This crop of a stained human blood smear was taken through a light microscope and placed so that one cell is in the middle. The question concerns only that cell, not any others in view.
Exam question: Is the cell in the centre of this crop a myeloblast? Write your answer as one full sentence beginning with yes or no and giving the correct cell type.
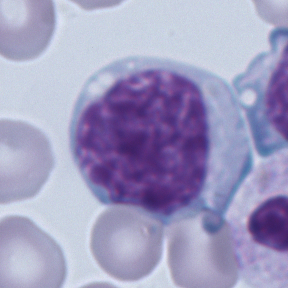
Yes, as regards the cell in the middle, it is a myeloblast.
